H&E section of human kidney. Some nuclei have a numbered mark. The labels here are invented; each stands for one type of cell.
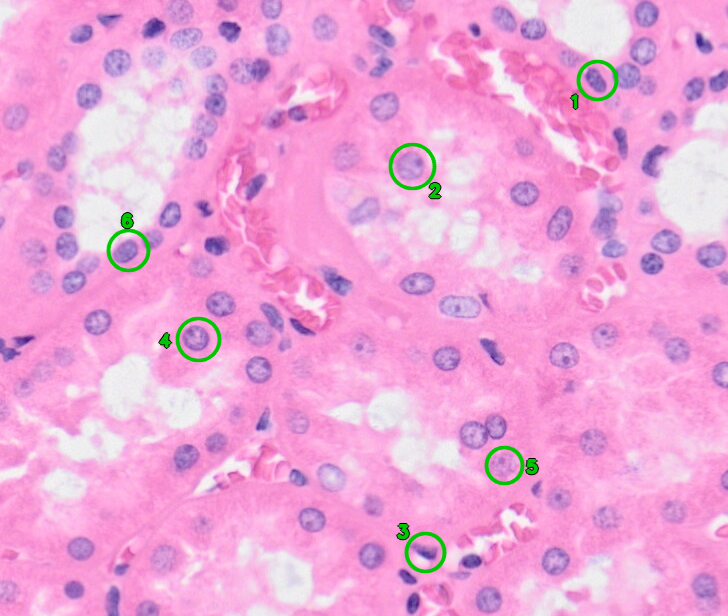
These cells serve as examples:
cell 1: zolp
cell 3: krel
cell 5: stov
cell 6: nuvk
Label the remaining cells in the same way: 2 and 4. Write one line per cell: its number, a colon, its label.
2: stov
4: stov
